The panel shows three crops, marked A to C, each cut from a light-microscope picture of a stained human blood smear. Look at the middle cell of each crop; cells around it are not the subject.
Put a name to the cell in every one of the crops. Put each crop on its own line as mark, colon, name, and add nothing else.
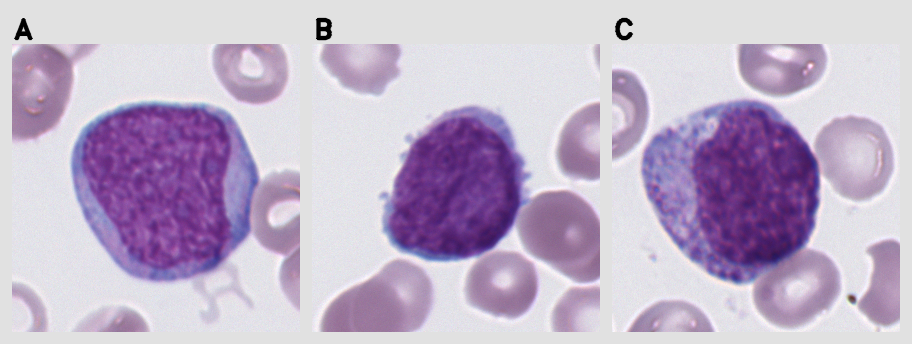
A: atypical promyelocyte
B: atypical promyelocyte
C: promyelocyte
